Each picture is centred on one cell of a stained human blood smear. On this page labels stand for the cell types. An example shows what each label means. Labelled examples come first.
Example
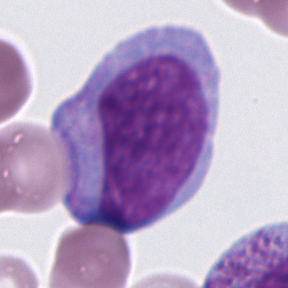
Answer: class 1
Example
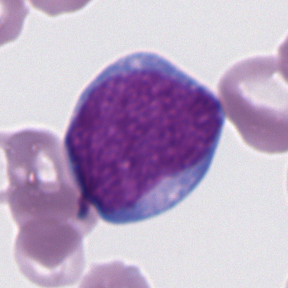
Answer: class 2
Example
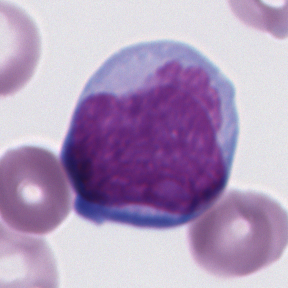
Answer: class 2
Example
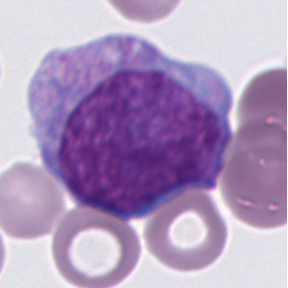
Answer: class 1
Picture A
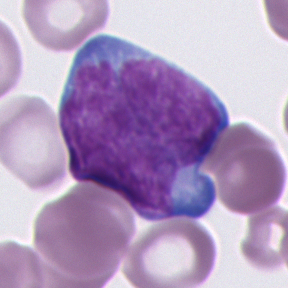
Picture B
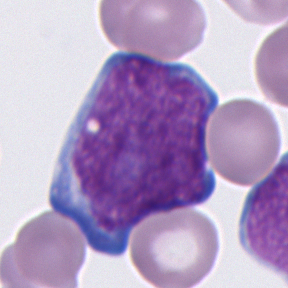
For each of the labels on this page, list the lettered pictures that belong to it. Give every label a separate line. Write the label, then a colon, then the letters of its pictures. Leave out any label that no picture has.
class 2: A, B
